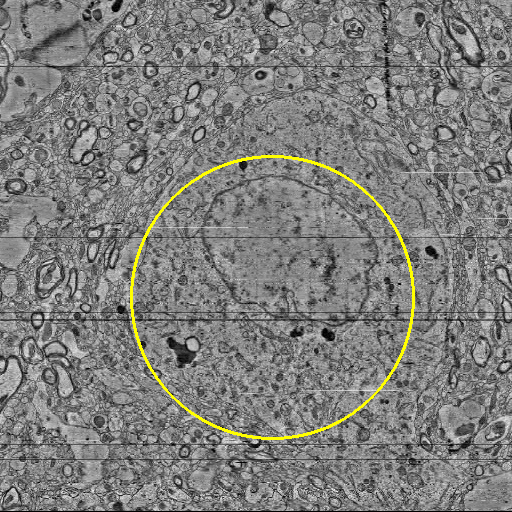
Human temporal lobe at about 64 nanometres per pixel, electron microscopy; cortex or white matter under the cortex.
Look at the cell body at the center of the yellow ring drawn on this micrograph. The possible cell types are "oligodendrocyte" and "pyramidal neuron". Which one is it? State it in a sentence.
The cell in the middle of the ring is a pyramidal neuron.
